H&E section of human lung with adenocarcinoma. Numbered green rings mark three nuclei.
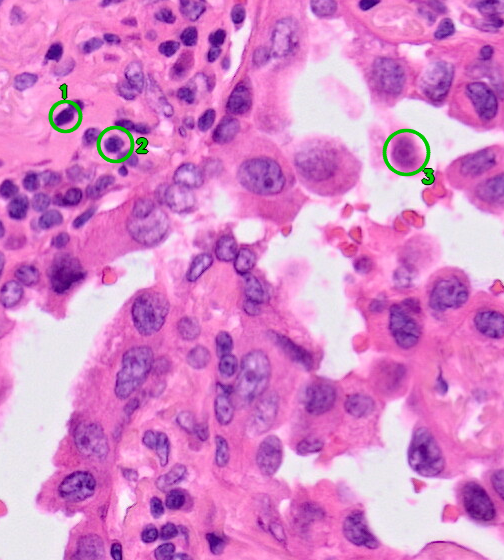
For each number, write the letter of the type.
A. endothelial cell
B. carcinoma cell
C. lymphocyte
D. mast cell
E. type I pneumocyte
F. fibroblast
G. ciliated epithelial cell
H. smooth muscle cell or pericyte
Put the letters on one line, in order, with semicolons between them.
C; C; B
